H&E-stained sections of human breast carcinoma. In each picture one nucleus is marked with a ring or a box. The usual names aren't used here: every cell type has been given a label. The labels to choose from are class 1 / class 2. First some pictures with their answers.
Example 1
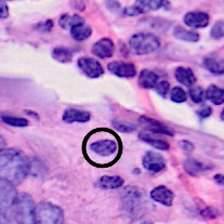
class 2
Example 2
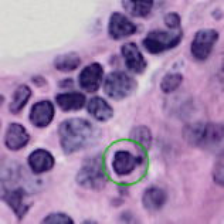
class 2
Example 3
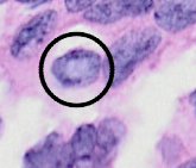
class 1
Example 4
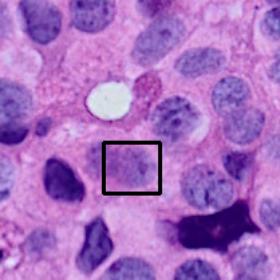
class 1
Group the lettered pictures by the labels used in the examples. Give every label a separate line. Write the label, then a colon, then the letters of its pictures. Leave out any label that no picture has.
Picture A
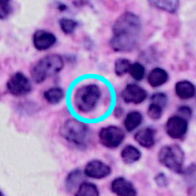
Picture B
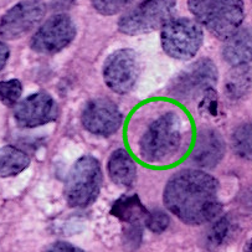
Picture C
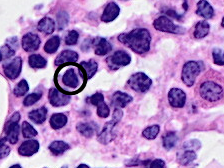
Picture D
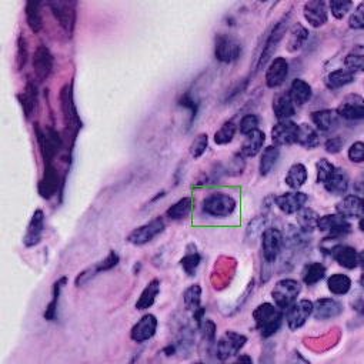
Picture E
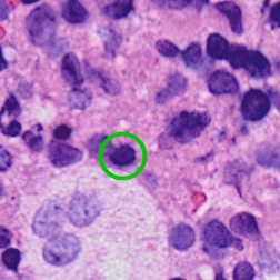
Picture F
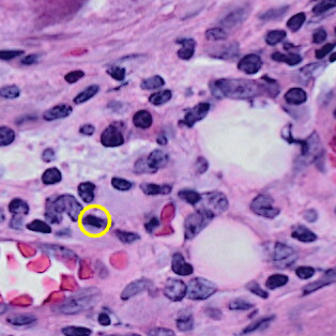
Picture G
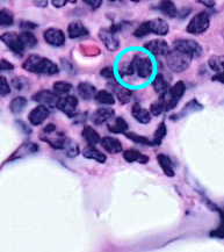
class 1: B, E
class 2: A, C, D, F, G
